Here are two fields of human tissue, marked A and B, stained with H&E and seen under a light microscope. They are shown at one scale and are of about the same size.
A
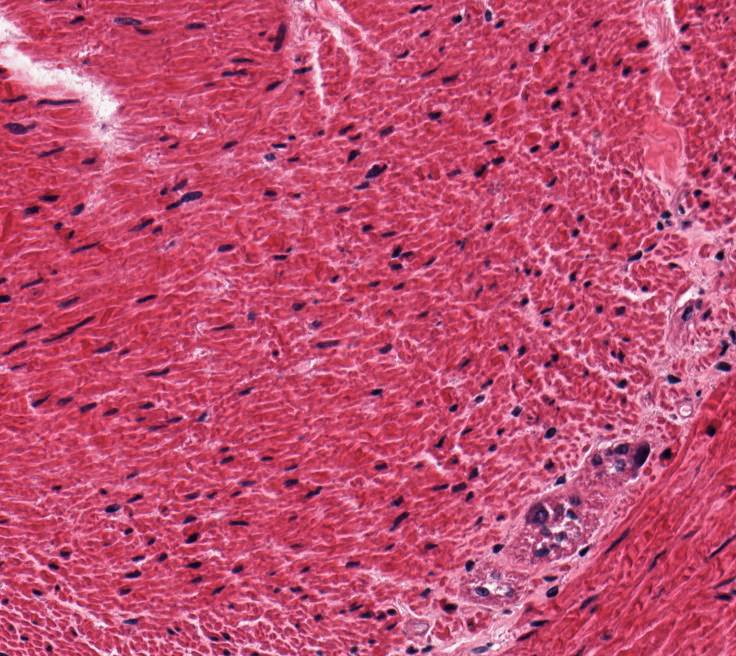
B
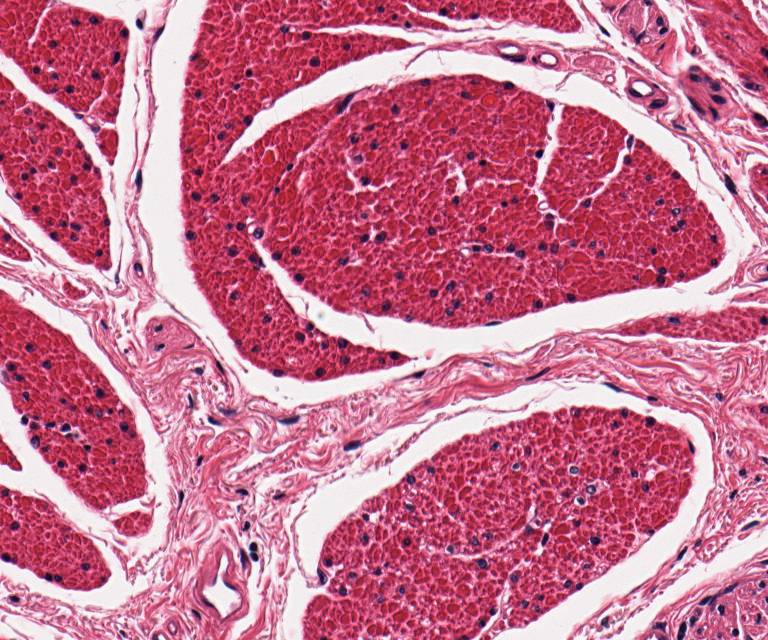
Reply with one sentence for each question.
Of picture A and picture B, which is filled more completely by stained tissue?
Less of picture A is empty and white.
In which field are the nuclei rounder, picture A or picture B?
The nuclei are rounder in picture B.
